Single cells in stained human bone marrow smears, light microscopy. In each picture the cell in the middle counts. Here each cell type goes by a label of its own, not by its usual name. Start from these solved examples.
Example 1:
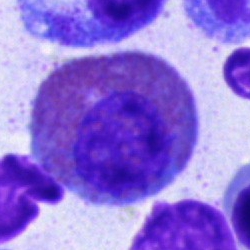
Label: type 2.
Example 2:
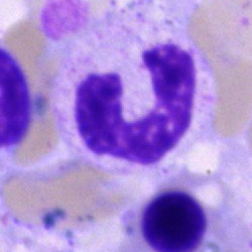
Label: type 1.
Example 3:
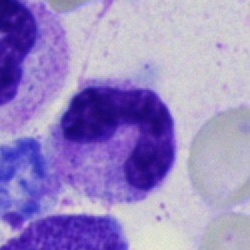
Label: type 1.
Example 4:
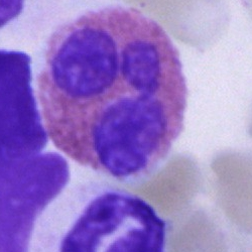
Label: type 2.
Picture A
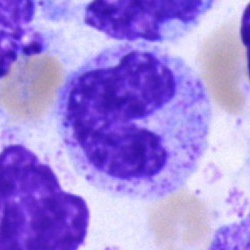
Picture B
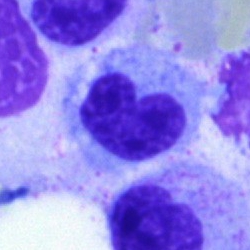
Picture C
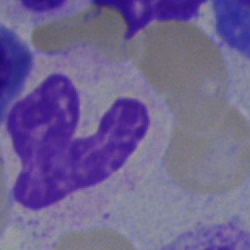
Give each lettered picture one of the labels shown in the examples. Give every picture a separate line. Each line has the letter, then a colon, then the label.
A: type 1.
B: type 1.
C: type 1.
